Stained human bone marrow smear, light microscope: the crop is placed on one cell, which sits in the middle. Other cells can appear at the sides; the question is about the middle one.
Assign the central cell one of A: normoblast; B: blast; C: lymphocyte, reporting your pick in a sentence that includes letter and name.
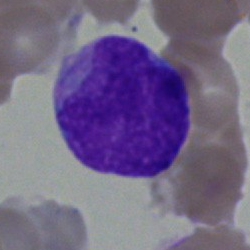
Option B holds, for the cell in the middle is a blast.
